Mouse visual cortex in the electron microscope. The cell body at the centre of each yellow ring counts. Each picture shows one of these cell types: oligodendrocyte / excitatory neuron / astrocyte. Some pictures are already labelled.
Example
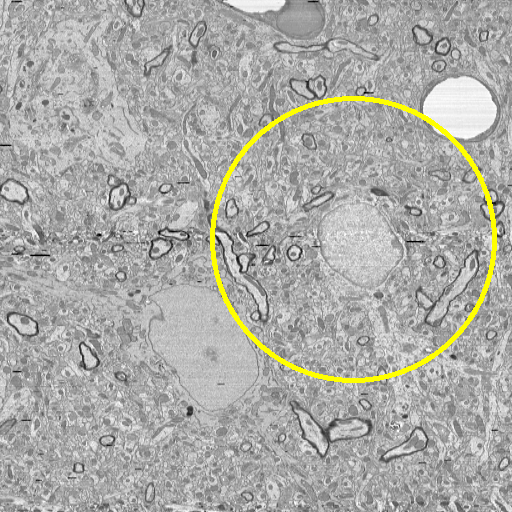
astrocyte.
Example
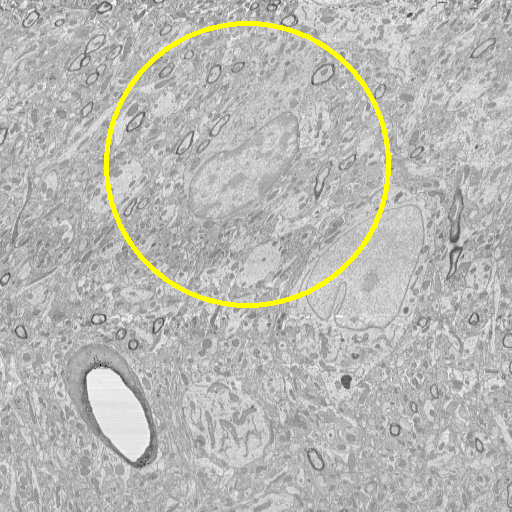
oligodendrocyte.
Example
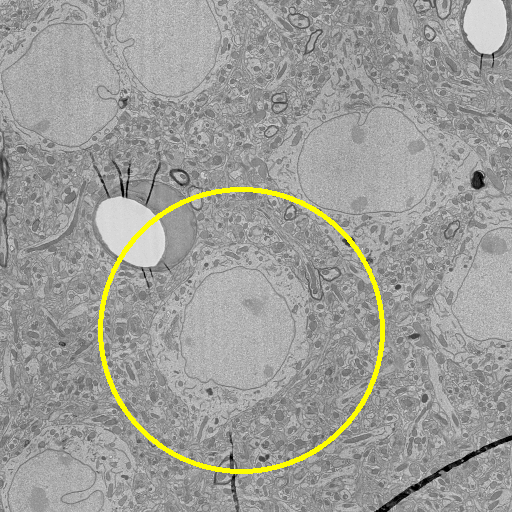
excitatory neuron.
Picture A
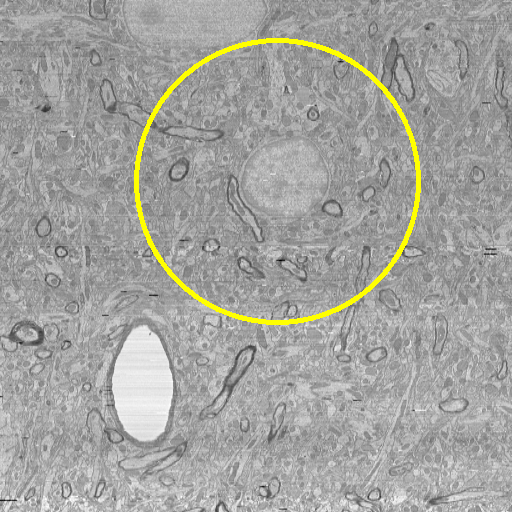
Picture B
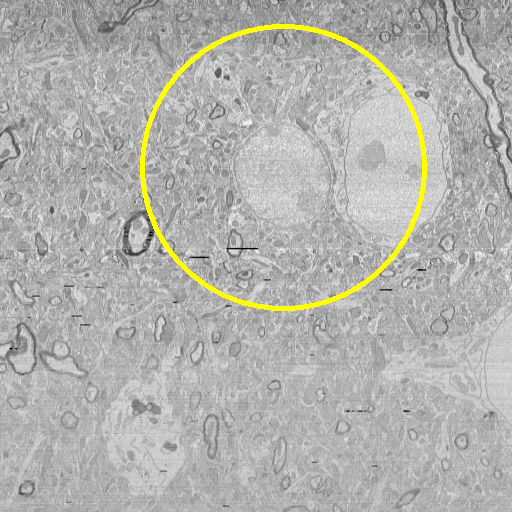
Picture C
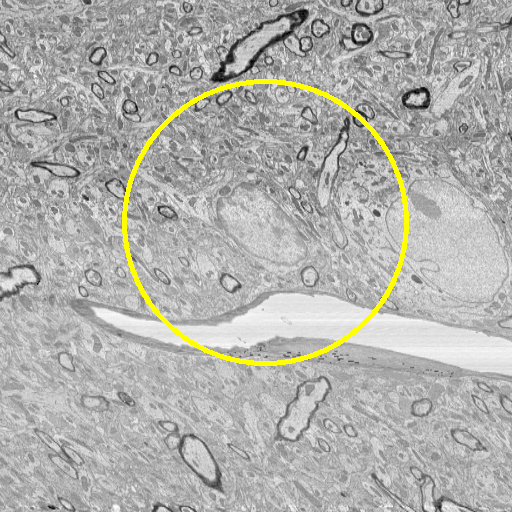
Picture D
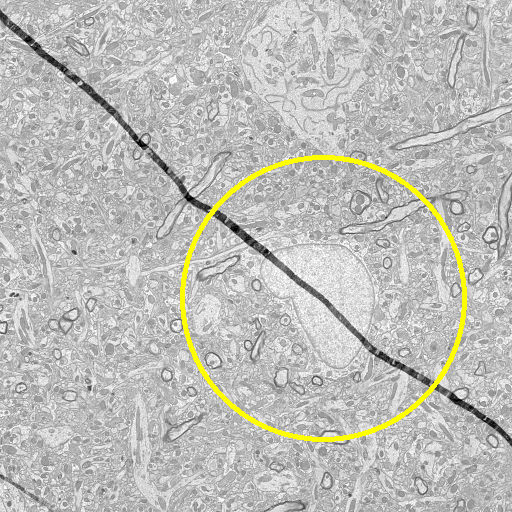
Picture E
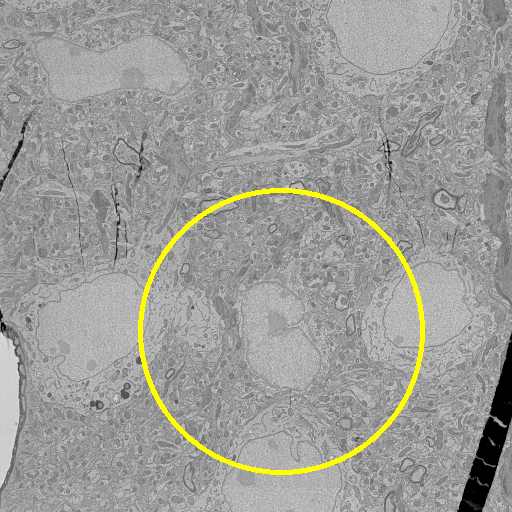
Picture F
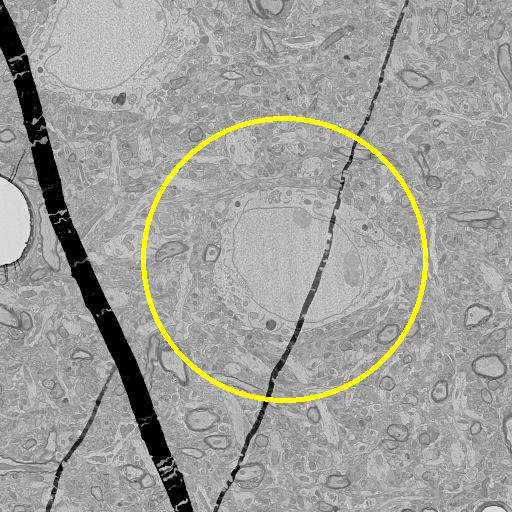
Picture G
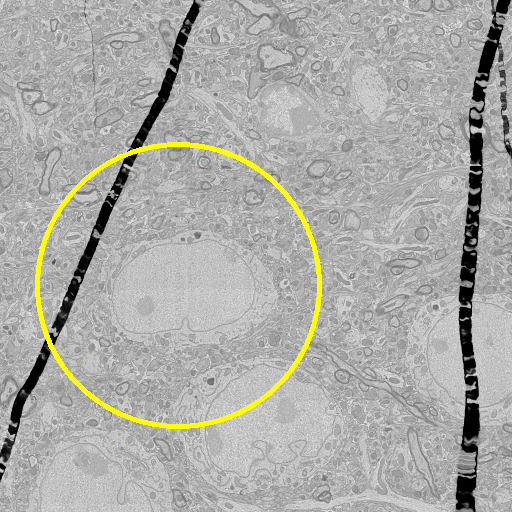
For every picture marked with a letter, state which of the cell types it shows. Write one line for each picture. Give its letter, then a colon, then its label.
A: oligodendrocyte.
B: astrocyte.
C: oligodendrocyte.
D: astrocyte.
E: astrocyte.
F: excitatory neuron.
G: excitatory neuron.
